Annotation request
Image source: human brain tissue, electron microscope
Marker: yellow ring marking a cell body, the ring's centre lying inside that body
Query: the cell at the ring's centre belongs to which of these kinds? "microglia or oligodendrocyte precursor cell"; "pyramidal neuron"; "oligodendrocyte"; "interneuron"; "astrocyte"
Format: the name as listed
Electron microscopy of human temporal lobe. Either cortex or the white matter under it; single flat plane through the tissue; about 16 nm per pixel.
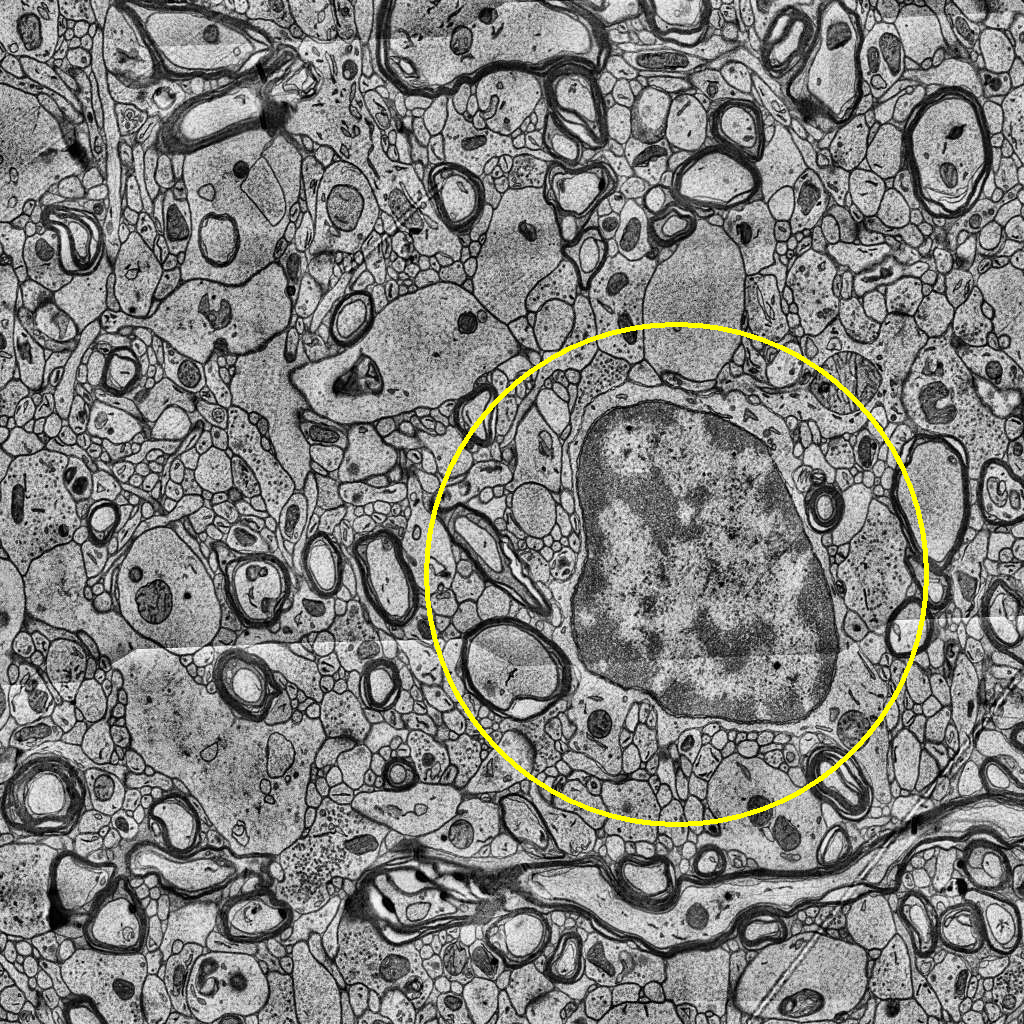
microglia or oligodendrocyte precursor cell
